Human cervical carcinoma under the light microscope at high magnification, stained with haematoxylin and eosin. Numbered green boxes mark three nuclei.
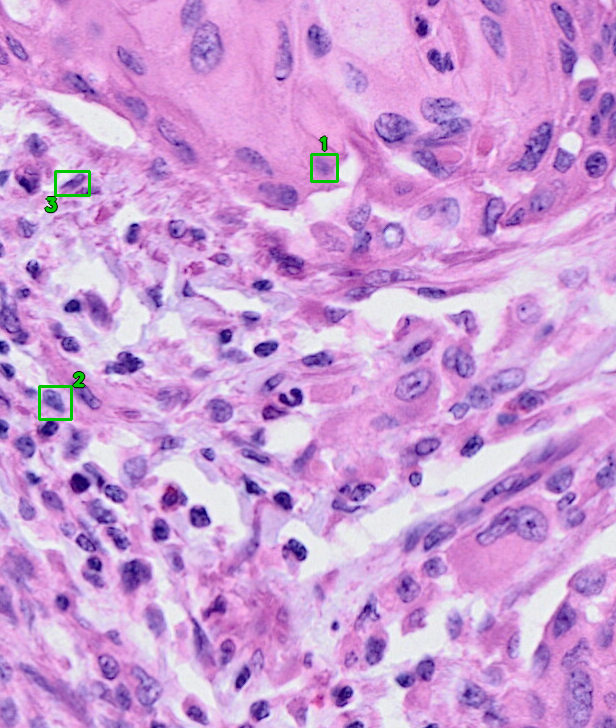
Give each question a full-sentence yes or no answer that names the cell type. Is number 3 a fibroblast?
Yes, the numbered cell 3 is identified as a fibroblast.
